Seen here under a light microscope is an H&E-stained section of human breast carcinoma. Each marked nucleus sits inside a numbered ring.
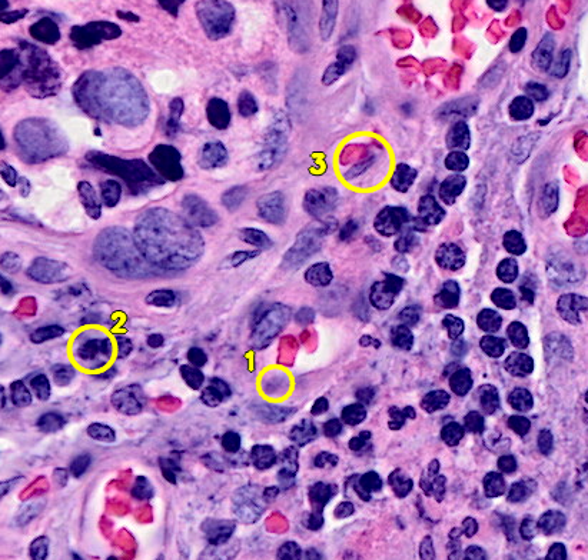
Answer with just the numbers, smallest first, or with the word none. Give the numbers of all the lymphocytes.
2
